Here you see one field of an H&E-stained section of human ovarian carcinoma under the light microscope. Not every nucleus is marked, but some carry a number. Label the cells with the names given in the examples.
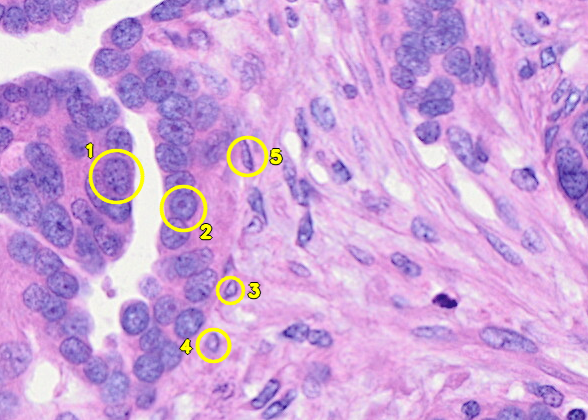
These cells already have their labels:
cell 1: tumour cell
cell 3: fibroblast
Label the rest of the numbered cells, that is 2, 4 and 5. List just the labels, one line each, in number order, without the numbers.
tumour cell
fibroblast
fibroblast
